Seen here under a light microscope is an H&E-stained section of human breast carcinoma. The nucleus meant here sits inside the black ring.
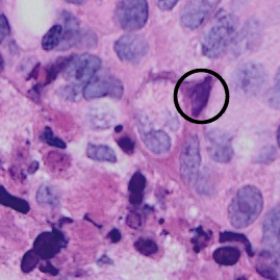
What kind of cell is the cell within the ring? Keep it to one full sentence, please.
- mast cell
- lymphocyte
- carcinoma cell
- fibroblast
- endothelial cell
Labelled by cell type, the cell within the ring is a carcinoma cell.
